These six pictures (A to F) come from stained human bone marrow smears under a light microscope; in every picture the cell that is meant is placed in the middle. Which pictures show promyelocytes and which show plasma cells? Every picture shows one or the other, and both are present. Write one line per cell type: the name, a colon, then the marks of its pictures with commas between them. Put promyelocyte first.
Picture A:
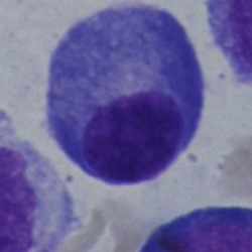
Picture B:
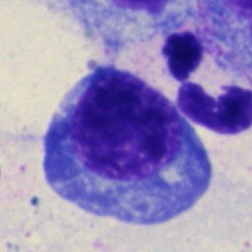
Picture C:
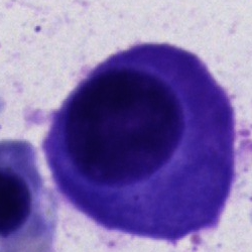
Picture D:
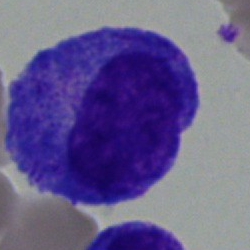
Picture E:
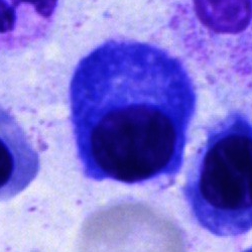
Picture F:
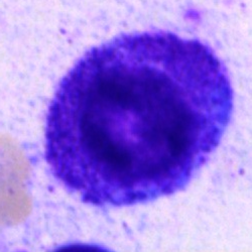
promyelocyte: D, F
plasma cell: A, B, C, E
